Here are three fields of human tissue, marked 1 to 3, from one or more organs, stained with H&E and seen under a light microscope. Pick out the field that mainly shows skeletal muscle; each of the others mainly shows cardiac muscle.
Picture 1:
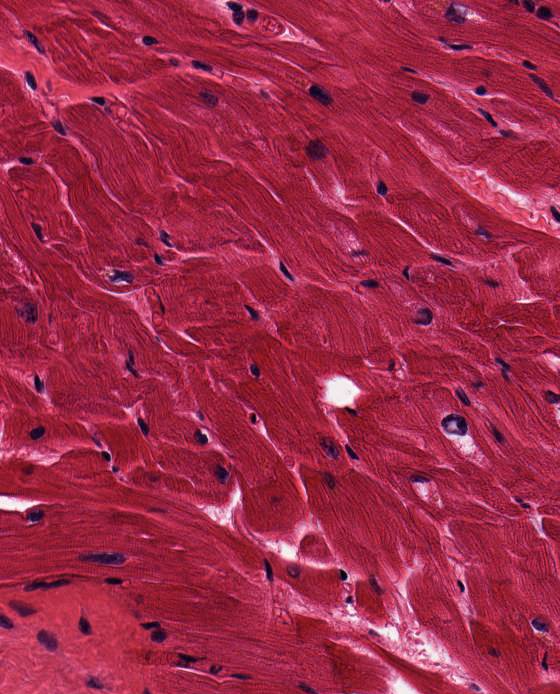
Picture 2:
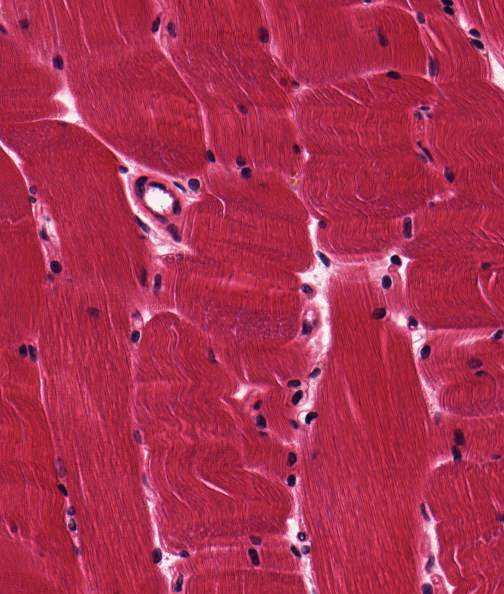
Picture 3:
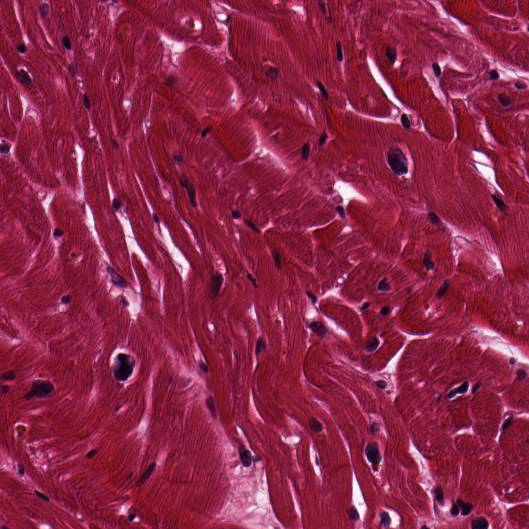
2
